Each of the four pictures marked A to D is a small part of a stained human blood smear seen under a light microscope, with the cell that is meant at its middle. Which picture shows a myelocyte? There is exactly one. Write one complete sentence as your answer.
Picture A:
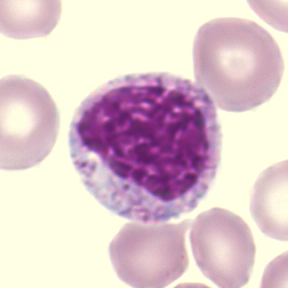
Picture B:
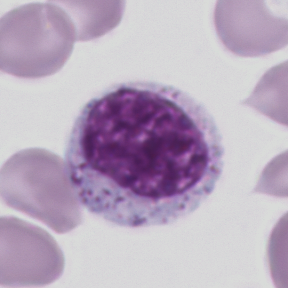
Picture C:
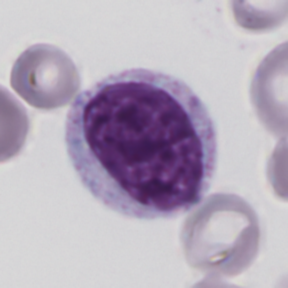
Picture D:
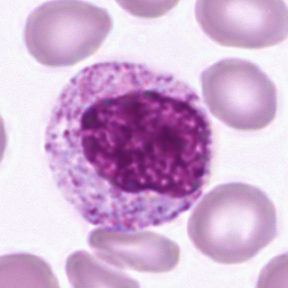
The cell in picture A is the myelocyte.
